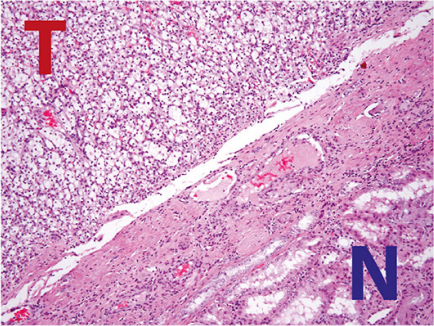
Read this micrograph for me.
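Clear cell renal cell carcinoma at upper left, made of nests of cells with abundant clear cytoplasm and small nuclei, separated by thin, branching vascular septae. A band of pink fibrous tissue divides it from non-neoplastic renal parenchyma at lower right, where tubules with pink epithelium and open lumina are seen.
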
